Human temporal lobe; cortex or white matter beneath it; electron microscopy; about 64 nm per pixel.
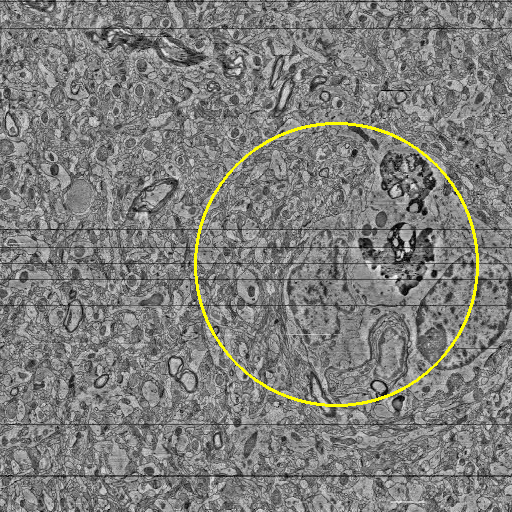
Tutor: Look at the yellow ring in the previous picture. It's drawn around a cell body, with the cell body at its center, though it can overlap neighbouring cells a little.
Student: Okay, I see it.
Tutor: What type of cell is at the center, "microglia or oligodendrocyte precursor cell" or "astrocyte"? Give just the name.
microglia or oligodendrocyte precursor cell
